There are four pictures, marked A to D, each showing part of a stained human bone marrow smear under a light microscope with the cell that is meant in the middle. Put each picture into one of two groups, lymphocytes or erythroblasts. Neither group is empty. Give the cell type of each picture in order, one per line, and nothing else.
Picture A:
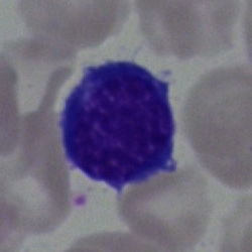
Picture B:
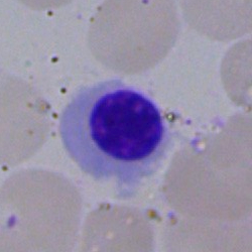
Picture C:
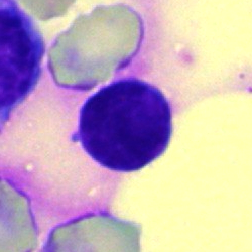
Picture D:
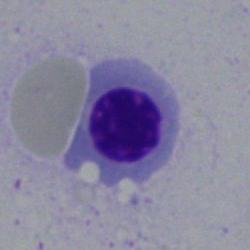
lymphocyte
erythroblast
lymphocyte
erythroblast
